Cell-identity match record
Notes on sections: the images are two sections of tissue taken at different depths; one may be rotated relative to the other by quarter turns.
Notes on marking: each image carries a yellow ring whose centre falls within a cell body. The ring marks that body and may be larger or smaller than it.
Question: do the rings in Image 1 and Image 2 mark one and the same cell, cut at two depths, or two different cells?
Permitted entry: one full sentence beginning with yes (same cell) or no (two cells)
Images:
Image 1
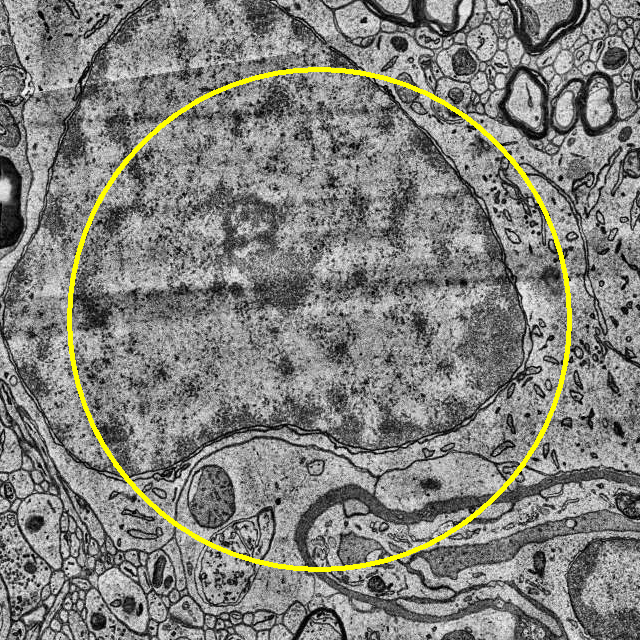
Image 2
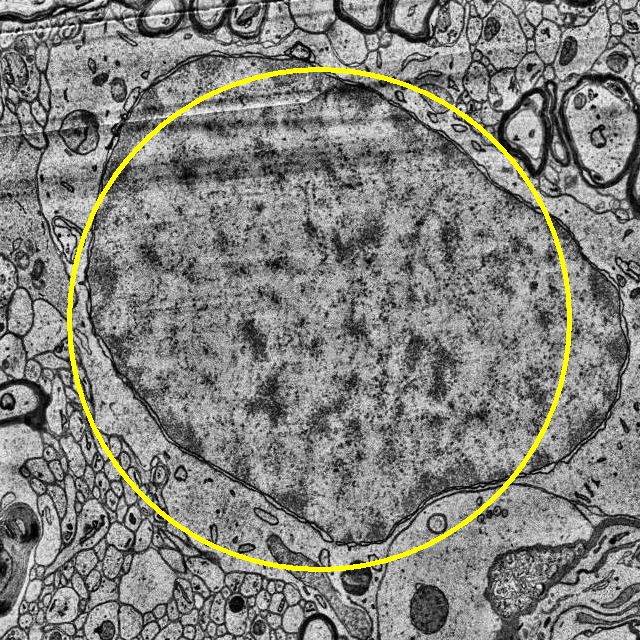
Yes, one and the same cell lies under both rings.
